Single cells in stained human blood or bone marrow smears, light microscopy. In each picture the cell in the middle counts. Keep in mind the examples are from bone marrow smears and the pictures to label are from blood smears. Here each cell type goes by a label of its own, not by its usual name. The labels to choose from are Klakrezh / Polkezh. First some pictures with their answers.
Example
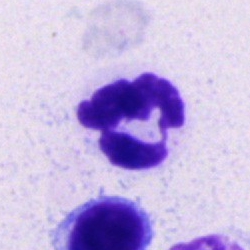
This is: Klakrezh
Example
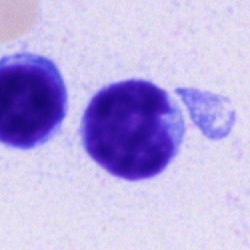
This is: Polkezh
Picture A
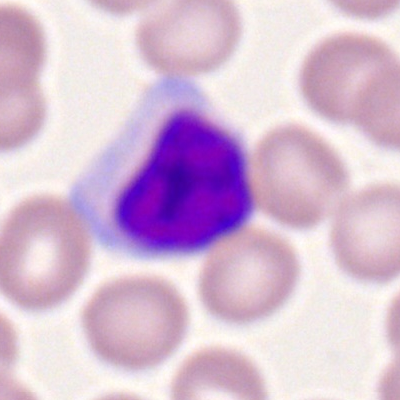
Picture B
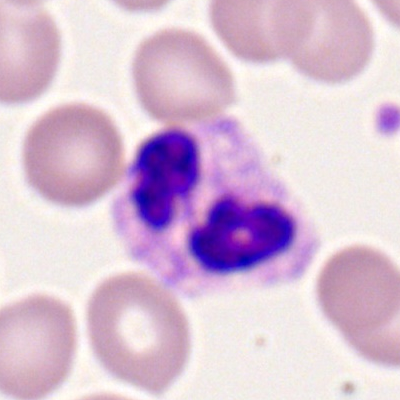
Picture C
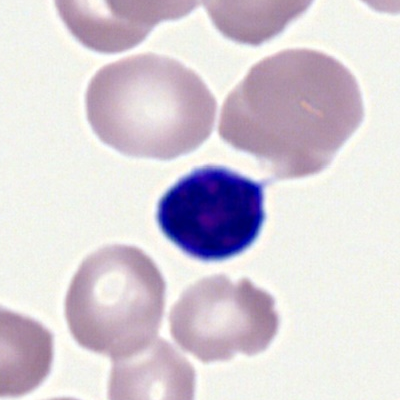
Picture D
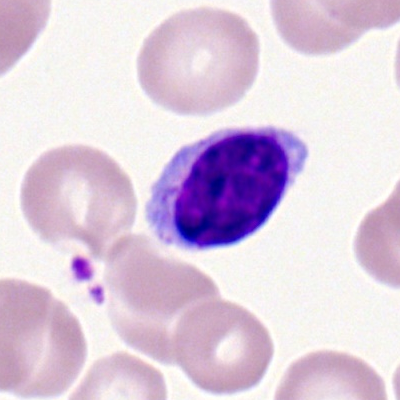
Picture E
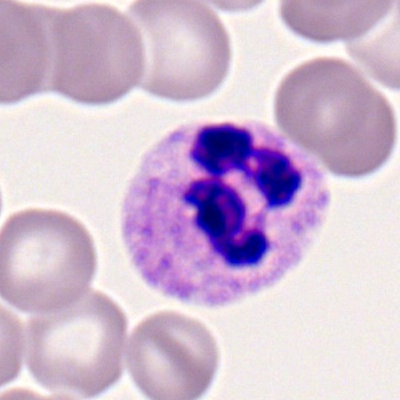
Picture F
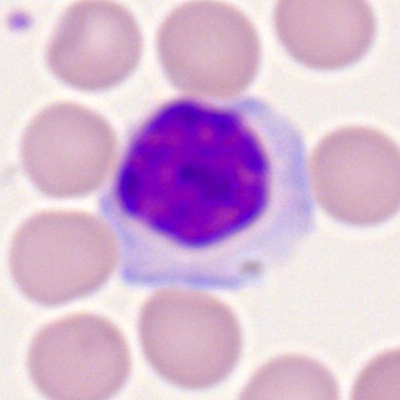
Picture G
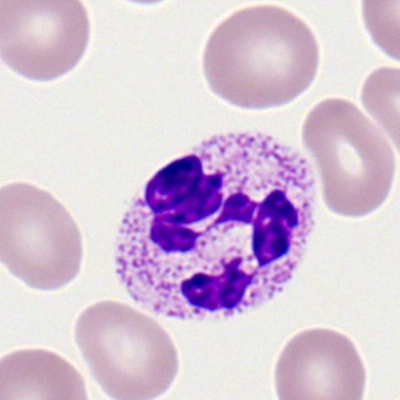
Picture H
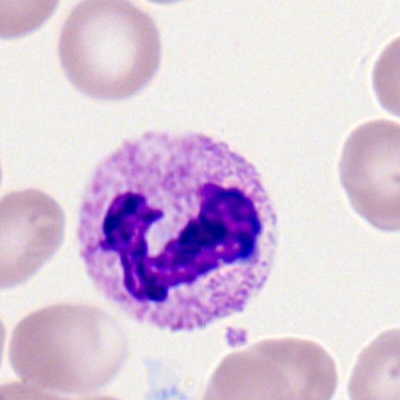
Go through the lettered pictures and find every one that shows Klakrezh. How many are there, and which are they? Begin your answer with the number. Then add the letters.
Count: 4 (B, E, G, H)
